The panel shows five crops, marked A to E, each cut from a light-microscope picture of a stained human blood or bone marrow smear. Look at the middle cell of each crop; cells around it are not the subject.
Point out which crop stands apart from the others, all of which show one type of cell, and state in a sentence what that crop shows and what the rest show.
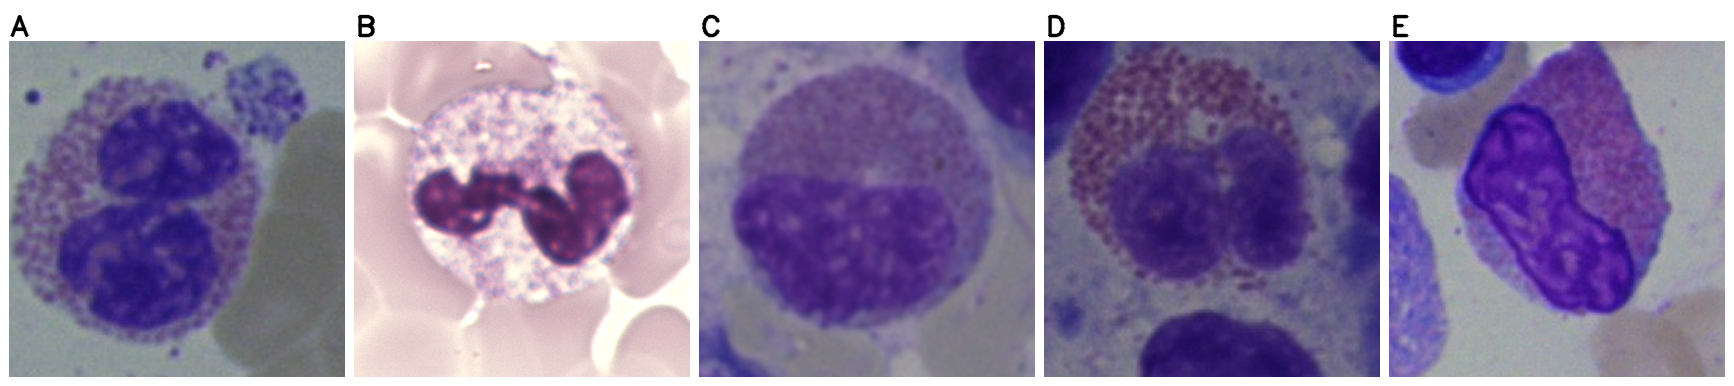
Crop B is the one to flag: it is a neutrophil, and the rest show eosinophils.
